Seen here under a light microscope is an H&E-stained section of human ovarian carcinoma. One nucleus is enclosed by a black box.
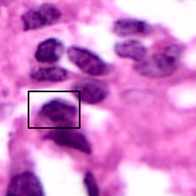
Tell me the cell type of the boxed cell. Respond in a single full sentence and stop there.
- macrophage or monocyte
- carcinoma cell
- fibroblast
What the boxed cell represents is a carcinoma cell.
